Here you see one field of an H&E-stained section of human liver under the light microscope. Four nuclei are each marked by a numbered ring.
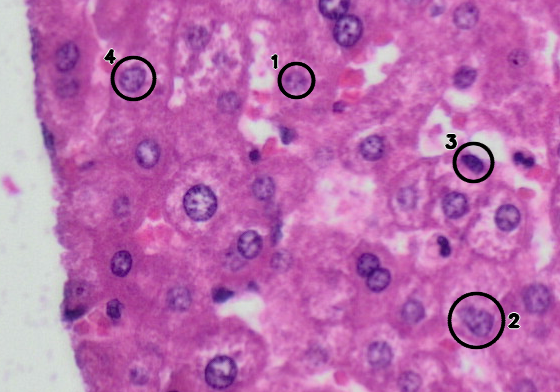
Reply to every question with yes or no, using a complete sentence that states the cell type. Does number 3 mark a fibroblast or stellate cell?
Yes, that one, number 3, is a fibroblast or stellate cell.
